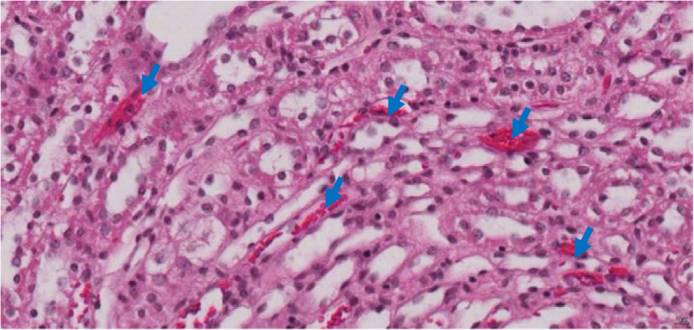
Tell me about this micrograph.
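Kidney tissue with many cut tubules lined by cuboidal epithelial cells with round purple nuclei and pink cytoplasm, their lumens open and clear. Narrow vessels running between the tubules contain streaks and clumps of bright red red blood cells.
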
